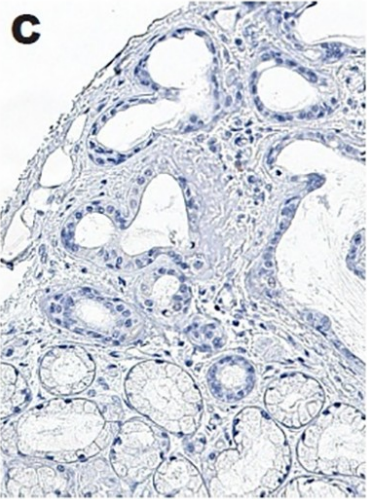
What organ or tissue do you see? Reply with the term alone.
Salivary gland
